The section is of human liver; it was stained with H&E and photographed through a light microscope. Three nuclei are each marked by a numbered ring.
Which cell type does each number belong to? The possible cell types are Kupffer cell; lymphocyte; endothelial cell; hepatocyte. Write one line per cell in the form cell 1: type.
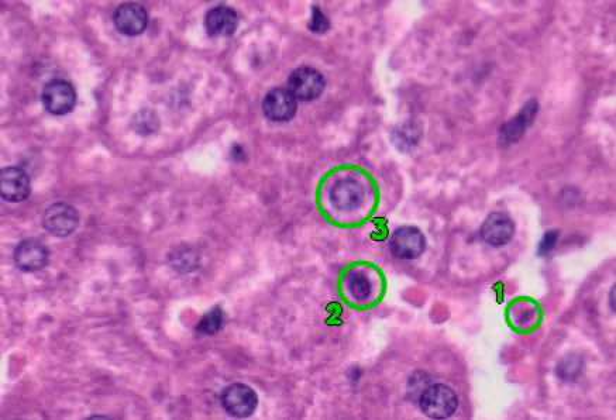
cell 1: endothelial cell
cell 2: Kupffer cell
cell 3: hepatocyte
